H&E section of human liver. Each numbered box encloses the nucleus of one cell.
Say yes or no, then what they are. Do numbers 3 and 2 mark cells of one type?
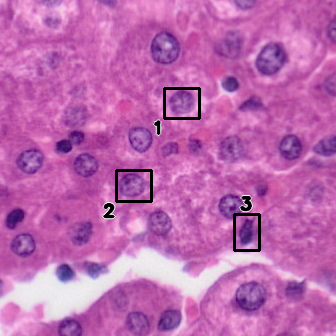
No: cell 3 is a fibroblast or stellate cell, while cell 2 is a hepatocyte.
